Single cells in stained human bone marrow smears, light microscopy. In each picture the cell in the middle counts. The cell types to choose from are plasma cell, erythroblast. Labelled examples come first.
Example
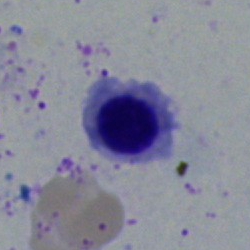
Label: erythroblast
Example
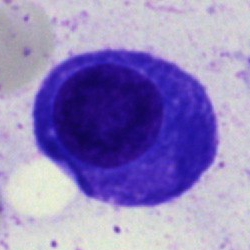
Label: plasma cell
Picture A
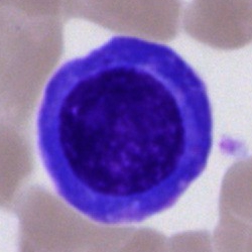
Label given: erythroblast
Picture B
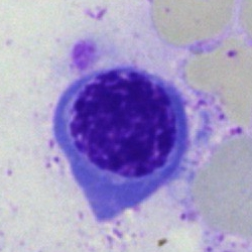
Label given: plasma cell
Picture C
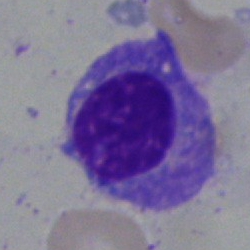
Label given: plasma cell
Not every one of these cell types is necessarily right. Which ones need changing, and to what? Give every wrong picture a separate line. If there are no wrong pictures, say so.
A: change erythroblast to plasma cell
B: change plasma cell to erythroblast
